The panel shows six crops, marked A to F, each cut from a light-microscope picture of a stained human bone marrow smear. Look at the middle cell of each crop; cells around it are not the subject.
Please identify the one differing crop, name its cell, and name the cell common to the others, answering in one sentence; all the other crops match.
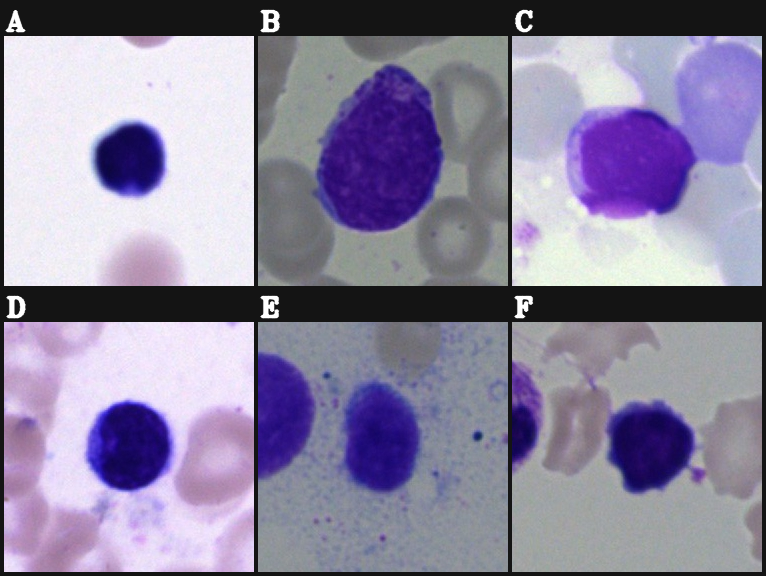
Among these crops, lymphocytes occur in all but crop B, which contains a blast.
